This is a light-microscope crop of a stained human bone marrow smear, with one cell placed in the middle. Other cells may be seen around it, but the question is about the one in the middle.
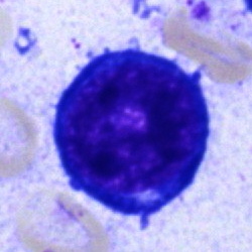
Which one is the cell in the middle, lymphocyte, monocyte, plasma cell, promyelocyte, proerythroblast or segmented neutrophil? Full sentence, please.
The central cell, amid any neighbouring cells, is a proerythroblast.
